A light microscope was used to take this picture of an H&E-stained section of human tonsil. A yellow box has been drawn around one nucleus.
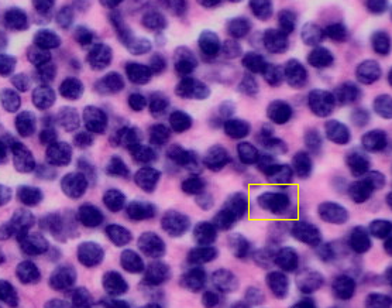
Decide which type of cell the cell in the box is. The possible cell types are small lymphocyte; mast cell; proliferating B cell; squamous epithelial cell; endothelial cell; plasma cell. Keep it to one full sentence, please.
Typologically, the cell in the box is a small lymphocyte in this section.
